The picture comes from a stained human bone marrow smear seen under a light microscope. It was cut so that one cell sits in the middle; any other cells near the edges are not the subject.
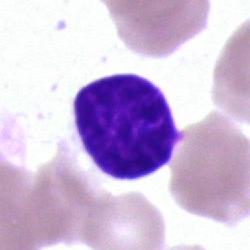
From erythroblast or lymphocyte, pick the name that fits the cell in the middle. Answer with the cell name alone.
lymphocyte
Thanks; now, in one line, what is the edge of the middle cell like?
Along the periphery, ragged stretches or projections make the outline irregular.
